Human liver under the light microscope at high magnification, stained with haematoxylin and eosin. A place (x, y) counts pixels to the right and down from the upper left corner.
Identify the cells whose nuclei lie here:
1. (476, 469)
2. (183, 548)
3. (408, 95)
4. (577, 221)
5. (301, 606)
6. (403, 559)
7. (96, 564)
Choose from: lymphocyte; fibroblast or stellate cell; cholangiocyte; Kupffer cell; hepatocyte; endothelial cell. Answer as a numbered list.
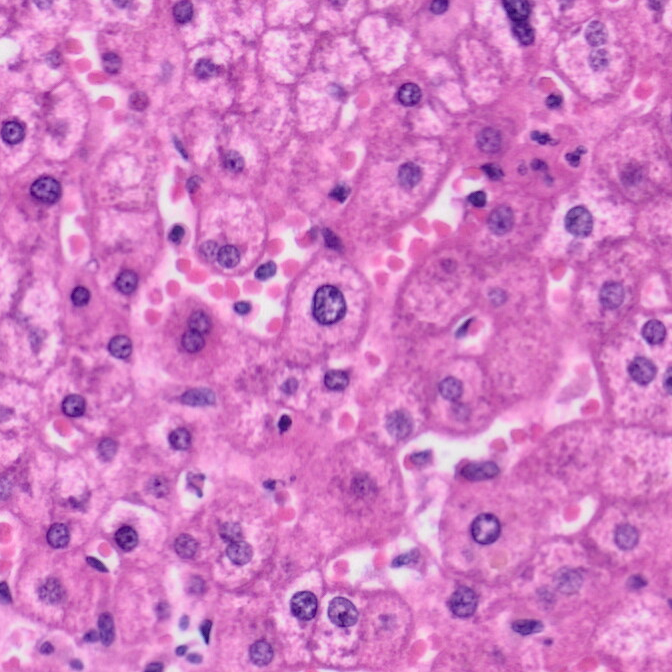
1. Kupffer cell
2. hepatocyte
3. hepatocyte
4. hepatocyte
5. hepatocyte
6. Kupffer cell
7. endothelial cell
